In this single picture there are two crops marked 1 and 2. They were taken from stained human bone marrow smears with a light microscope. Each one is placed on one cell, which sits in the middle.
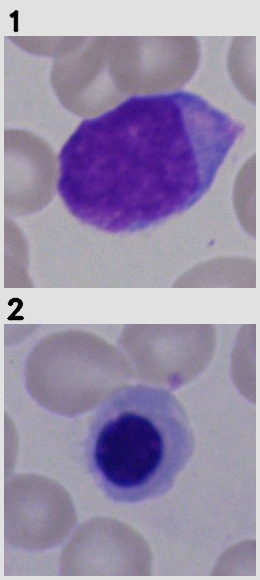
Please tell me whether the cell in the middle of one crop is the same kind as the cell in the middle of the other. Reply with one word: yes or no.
no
